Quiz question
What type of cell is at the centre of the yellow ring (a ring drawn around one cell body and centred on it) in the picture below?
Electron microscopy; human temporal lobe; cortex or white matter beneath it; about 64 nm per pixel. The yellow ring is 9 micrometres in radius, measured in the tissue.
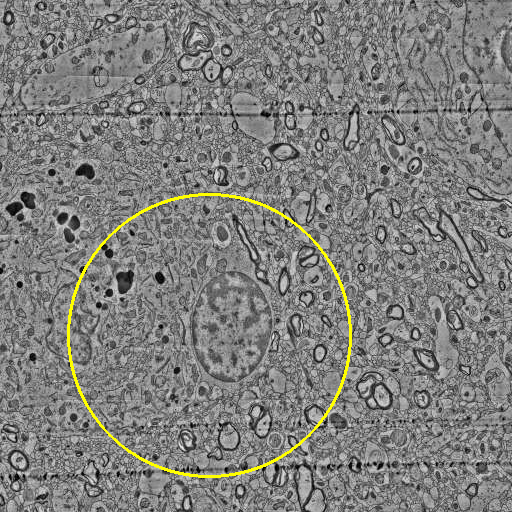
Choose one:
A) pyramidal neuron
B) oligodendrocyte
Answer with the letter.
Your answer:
B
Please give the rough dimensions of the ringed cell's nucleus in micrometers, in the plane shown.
About 7 micrometres by about 5 micrometres in this plane.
